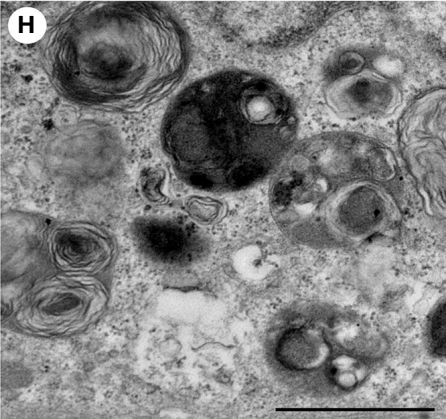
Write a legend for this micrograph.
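Several are large round compartments filled with concentric whorls of membrane, layered like an onion. Others contain a dense, dark, fairly uniform material, and some hold a mix of grey content with small clear round vesicles inside. Smaller curled membrane fragments and pale empty spaces lie between them. The surrounding cytoplasm is finely granular. This crowding of membrane-rich, digesting compartments is quite unlike the orderly mitochondria and reticulum of a normal cytoplasm.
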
